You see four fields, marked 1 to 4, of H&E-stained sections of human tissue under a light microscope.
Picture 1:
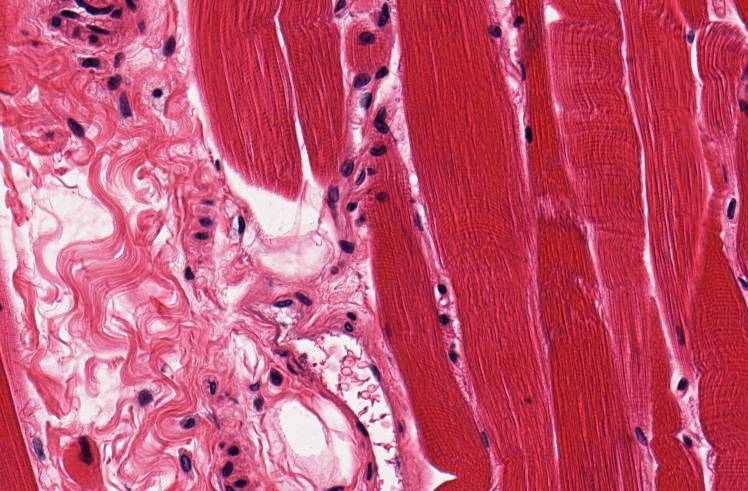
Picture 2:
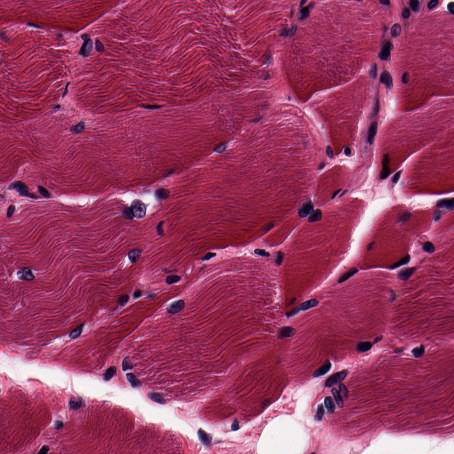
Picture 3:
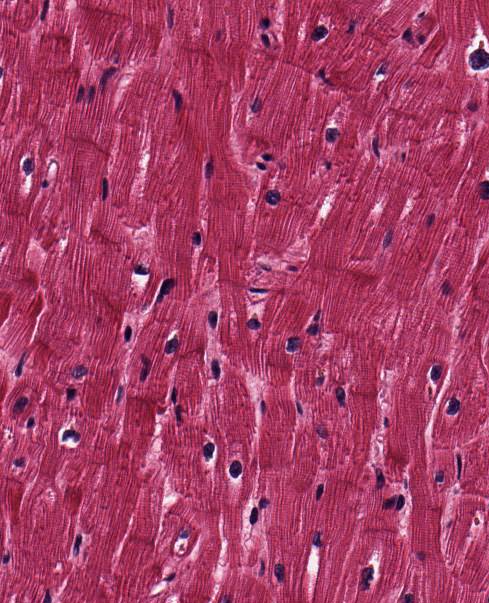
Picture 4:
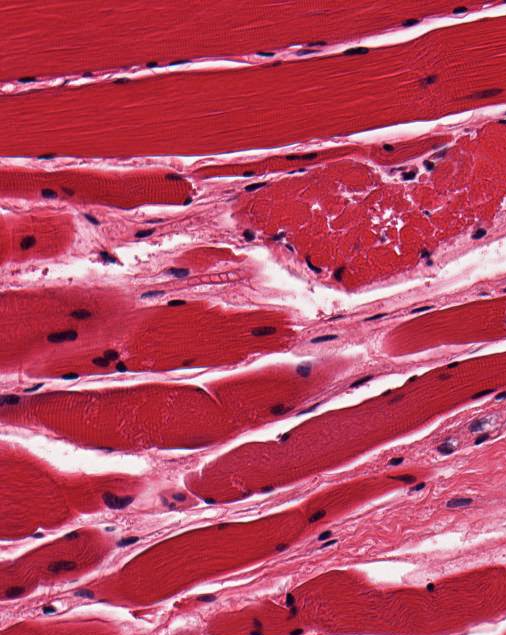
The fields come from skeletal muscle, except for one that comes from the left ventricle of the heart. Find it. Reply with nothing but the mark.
3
